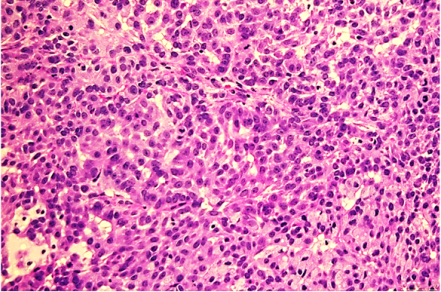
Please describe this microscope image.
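Tumor tissue made of densely packed cells in solid sheets. The cells are of fairly uniform size, polygonal to spindle-shaped, with oval purple nuclei that fill much of each cell. Thin pale strands of stroma run between groups of cells. No very large cells with many nuclei are seen.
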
